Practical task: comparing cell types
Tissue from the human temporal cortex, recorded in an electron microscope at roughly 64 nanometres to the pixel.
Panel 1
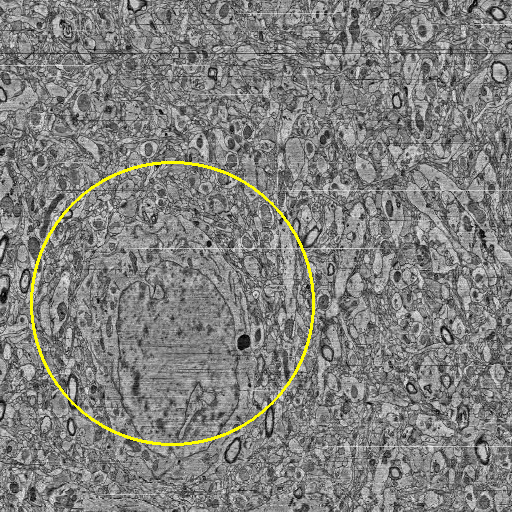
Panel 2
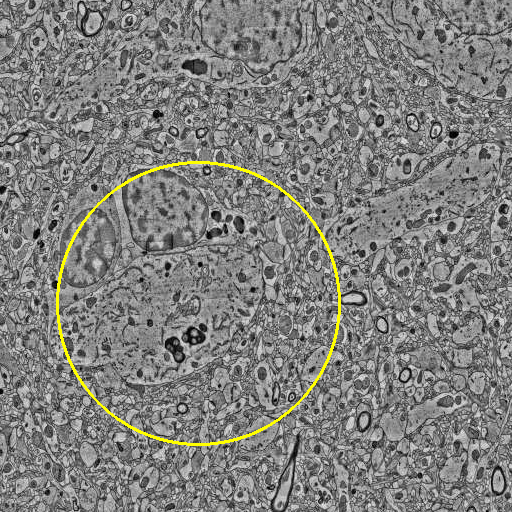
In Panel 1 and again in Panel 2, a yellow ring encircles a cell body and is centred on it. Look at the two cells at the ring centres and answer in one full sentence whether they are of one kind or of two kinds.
The two cells sitting at the ring centres of Panels 1 and 2 are of two kinds.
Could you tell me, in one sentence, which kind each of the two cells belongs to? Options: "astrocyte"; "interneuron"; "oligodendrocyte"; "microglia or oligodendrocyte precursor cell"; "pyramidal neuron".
At the centre of the first ring sits an interneuron, and at the centre of the second sits a pyramidal neuron.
